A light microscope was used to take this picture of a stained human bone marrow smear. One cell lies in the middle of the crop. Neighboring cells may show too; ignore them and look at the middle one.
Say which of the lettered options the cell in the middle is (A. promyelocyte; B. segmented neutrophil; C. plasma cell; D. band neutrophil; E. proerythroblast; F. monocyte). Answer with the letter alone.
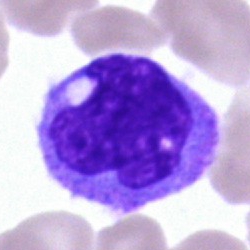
F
